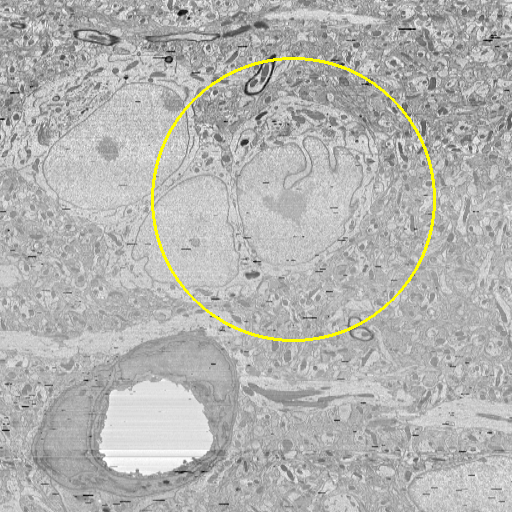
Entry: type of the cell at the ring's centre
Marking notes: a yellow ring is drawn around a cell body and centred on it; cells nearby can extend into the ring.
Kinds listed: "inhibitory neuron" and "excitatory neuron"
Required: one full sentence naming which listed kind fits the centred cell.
My entry names an inhibitory neuron as the cell whose body the yellow ring centres on.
